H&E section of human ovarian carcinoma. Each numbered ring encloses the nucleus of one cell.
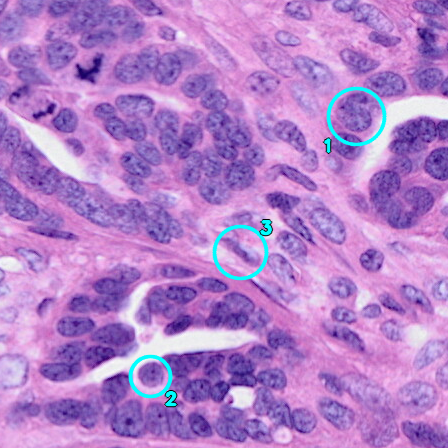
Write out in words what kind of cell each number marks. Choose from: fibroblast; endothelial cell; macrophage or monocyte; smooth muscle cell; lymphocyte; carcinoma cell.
Cell 1 is a carcinoma cell, cell 2 is a carcinoma cell and cell 3 is a fibroblast.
